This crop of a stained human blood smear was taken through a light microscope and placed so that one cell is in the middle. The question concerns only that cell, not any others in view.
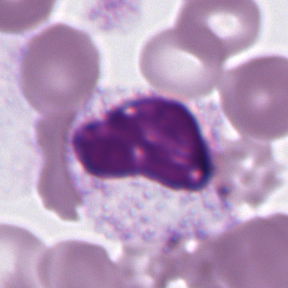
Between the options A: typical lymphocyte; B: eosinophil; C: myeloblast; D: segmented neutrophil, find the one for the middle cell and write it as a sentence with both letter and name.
The cell at the heart of the crop is a segmented neutrophil, so choose option D.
